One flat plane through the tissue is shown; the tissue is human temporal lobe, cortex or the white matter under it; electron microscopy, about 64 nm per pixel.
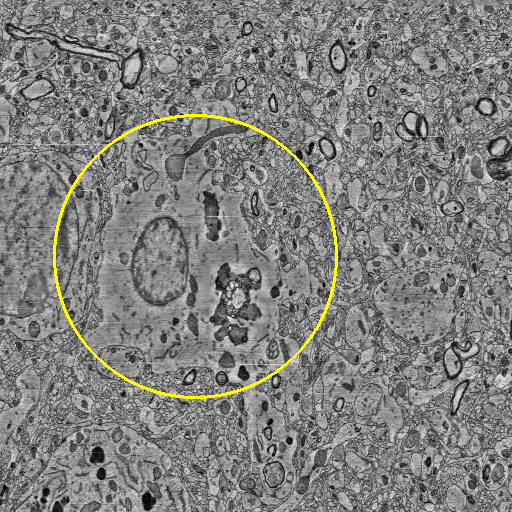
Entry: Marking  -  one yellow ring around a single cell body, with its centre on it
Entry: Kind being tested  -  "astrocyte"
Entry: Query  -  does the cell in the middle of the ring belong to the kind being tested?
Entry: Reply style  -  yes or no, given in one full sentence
Yes, the centred cell within the ring in the picture does belong to the tested kind.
